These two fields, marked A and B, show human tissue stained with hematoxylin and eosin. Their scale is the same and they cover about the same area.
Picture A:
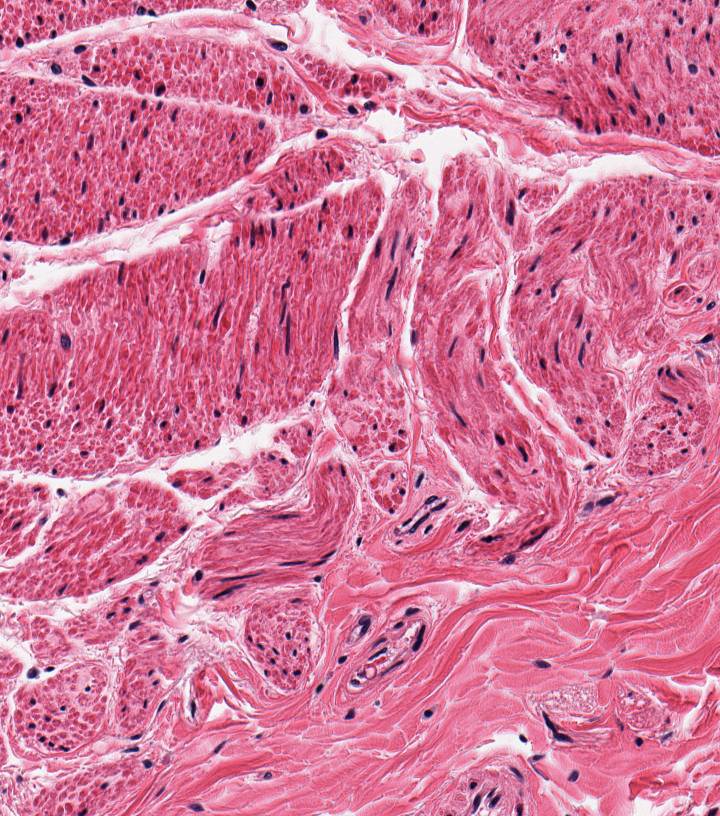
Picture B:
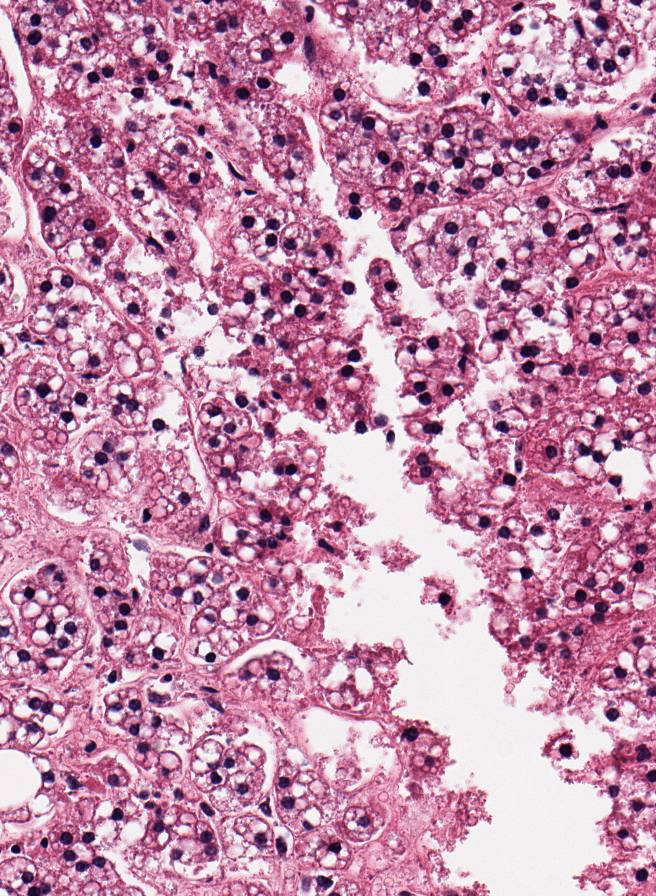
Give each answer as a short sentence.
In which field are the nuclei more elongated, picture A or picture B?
The nuclei are more elongated in picture A.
